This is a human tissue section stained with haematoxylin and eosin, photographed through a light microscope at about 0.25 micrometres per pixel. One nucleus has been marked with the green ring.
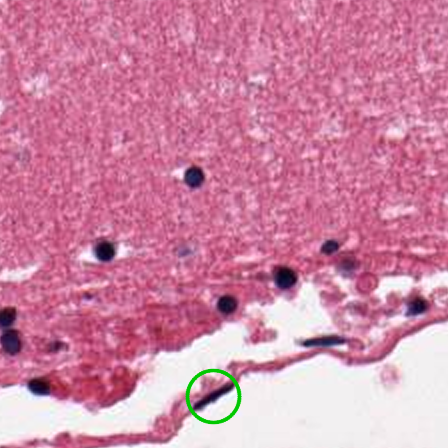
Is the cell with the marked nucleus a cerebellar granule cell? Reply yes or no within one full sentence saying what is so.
No, the marked nucleus sits in a supporting cell; a cerebellar granule cell does not contain it.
